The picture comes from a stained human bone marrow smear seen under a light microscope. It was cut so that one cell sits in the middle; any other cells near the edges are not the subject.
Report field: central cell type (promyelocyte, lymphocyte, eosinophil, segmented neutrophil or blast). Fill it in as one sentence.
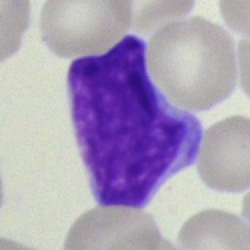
Present in the middle of the crop is a blast.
